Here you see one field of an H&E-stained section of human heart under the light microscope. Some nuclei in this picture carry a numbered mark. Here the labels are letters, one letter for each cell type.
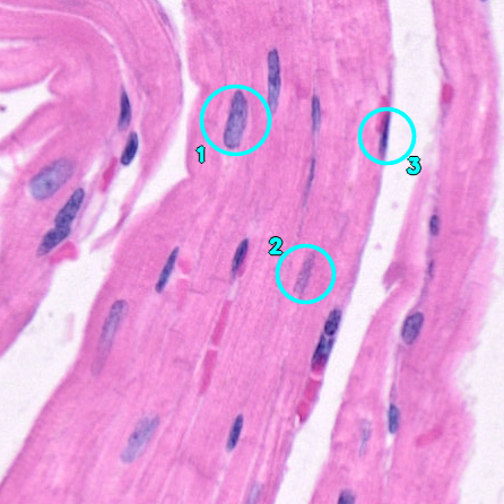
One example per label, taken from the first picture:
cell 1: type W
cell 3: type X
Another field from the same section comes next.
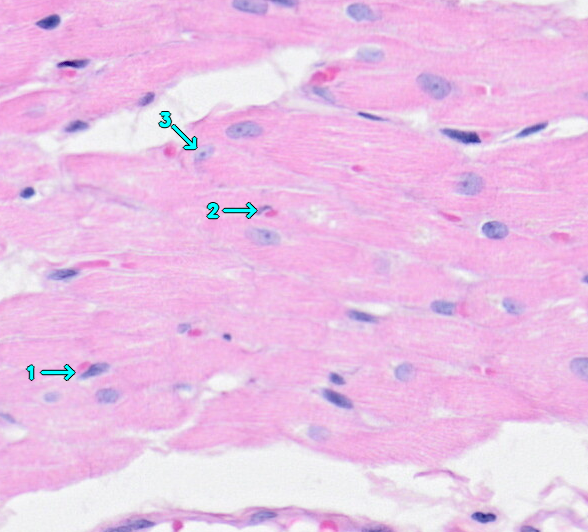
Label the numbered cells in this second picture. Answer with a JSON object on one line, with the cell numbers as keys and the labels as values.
{"1": "type X", "2": "type X", "3": "type W"}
